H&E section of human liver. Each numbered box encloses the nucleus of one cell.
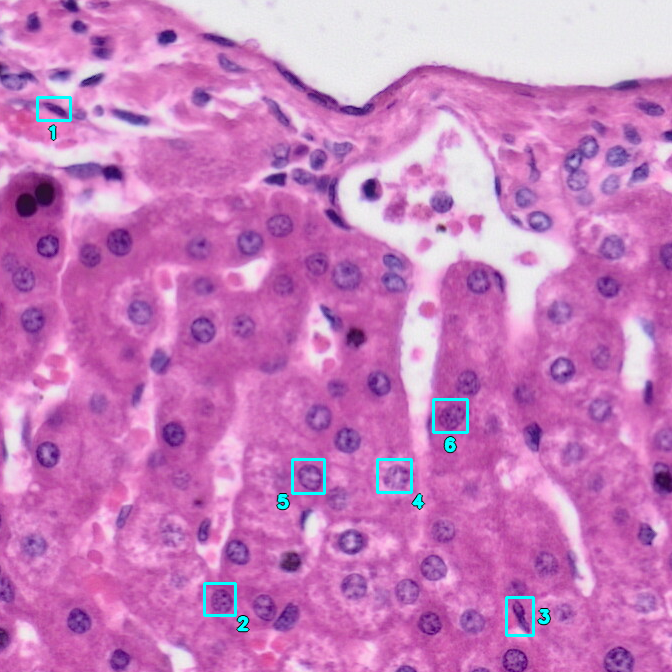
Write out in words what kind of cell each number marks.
Cell 1 is a fibroblast or stellate cell. Cells 2, 4, 5 and 6 are hepatocytes. Cell 3 is an endothelial cell.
